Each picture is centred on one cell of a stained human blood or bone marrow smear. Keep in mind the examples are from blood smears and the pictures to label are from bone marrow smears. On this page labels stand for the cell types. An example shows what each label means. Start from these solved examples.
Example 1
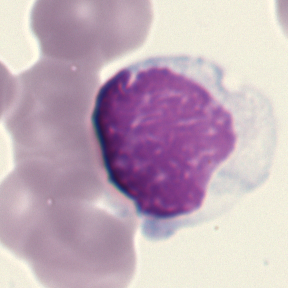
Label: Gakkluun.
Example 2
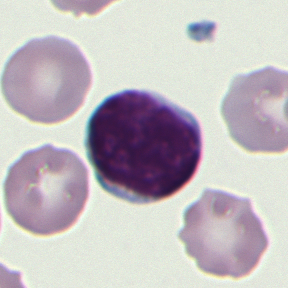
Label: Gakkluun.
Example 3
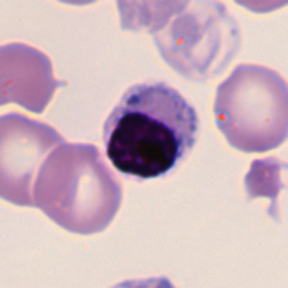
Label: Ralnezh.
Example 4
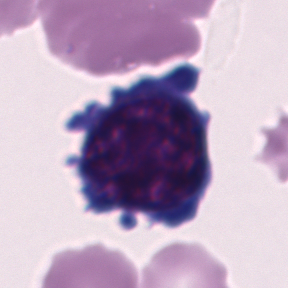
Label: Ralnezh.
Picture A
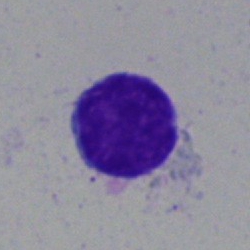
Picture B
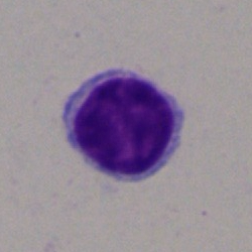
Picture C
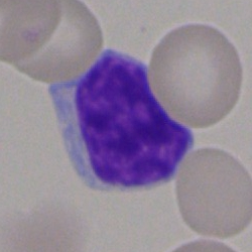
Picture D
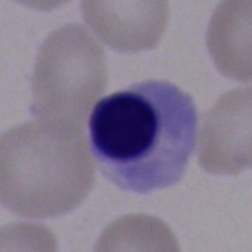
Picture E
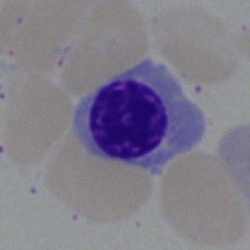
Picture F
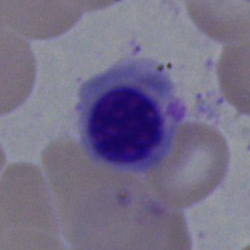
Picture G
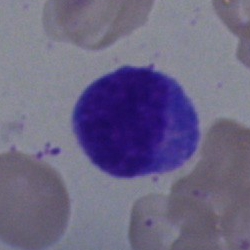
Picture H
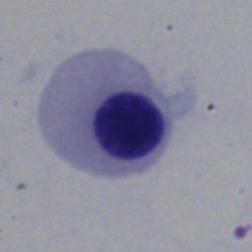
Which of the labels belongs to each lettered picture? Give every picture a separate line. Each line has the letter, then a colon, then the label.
A: Gakkluun.
B: Gakkluun.
C: Gakkluun.
D: Ralnezh.
E: Ralnezh.
F: Ralnezh.
G: Gakkluun.
H: Ralnezh.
